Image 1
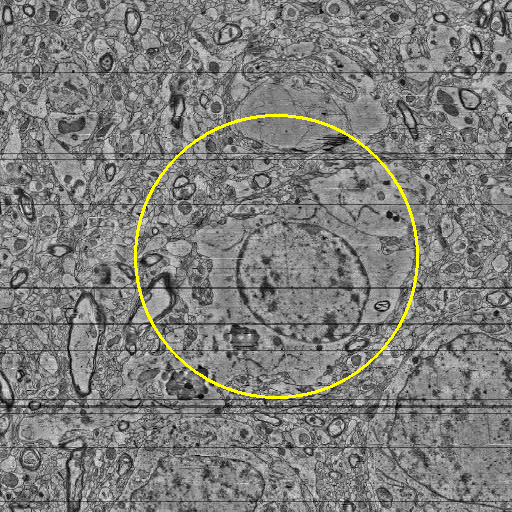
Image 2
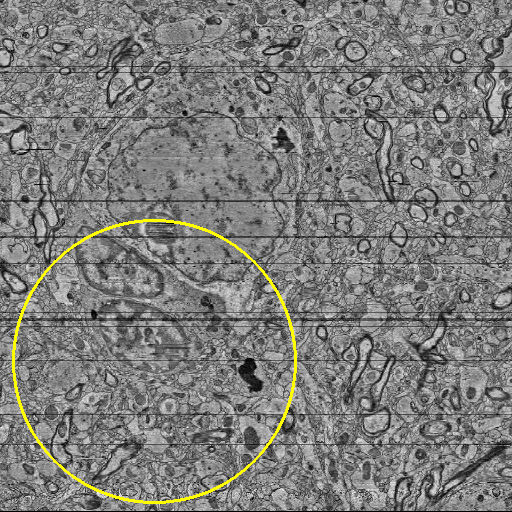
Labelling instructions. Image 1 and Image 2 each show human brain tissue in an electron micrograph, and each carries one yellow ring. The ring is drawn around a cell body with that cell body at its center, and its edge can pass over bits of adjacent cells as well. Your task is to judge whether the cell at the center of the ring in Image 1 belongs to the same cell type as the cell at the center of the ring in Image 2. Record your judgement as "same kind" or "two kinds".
two kinds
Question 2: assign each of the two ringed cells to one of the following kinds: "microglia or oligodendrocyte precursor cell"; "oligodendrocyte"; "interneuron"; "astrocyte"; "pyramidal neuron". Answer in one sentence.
The two cells are an astrocyte in the first picture and an oligodendrocyte in the second.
